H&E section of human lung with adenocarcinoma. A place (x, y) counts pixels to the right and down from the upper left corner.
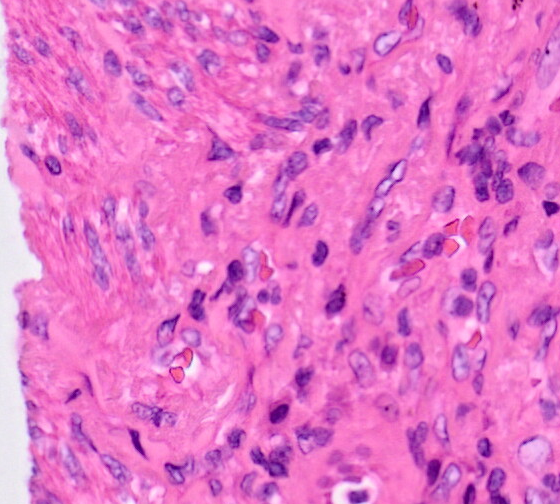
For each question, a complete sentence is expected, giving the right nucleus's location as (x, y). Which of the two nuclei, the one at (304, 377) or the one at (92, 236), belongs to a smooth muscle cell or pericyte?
That would be the nucleus at (92, 236); it belongs to a smooth muscle cell or pericyte.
